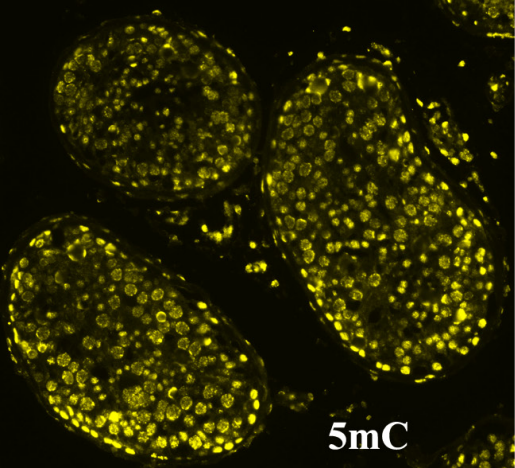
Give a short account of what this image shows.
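Several round to oval tubules are cut in cross section, packed with many nuclei of germ cells, all labelled yellow. Nuclei at every level of the epithelium, from the outer rim to near the centre, carry the label; those at the periphery tend to be smaller and brighter, while inner nuclei are larger, rounder and show a speckled, granular pattern. A thin boundary surrounds each tubule, and scattered brightly labelled, elongated nuclei lie in the spaces between the tubules. The tubule centres are crowded, with no clear open lumen.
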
